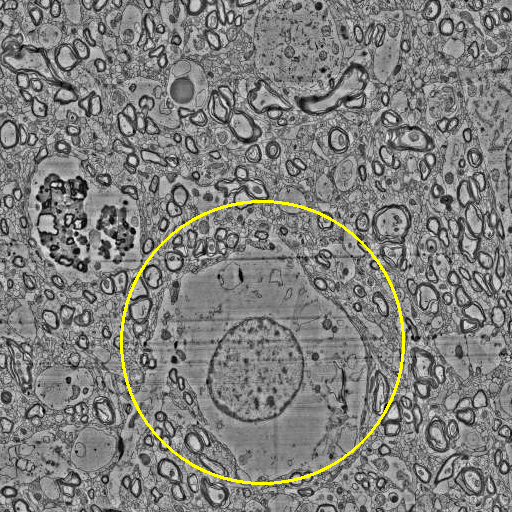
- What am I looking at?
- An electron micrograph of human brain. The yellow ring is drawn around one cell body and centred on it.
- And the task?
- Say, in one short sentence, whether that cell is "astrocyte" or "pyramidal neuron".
The cell in the middle of the ring is an astrocyte.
